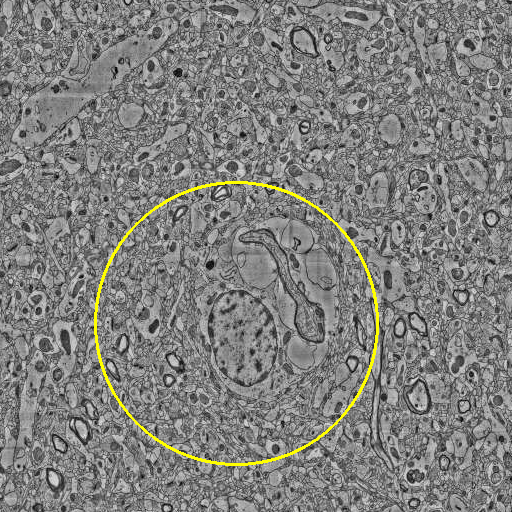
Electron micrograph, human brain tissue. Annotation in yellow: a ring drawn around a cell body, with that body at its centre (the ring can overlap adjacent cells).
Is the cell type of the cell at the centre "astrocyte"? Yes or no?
No, it is of another type.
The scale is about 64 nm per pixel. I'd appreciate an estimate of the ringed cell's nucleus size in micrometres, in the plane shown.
About 6 by 4 micrometres in this plane.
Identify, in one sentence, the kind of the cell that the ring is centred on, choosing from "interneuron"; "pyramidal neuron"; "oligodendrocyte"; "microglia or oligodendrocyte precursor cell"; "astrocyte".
Instead, the ring in this picture marks a microglial cell or oligodendrocyte precursor cell.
